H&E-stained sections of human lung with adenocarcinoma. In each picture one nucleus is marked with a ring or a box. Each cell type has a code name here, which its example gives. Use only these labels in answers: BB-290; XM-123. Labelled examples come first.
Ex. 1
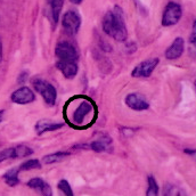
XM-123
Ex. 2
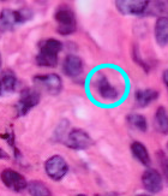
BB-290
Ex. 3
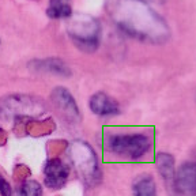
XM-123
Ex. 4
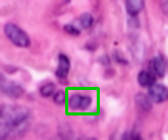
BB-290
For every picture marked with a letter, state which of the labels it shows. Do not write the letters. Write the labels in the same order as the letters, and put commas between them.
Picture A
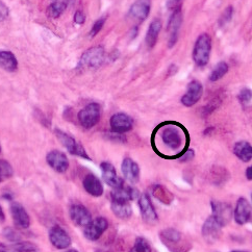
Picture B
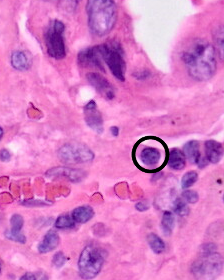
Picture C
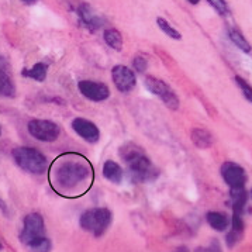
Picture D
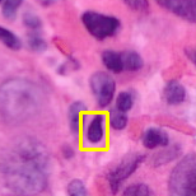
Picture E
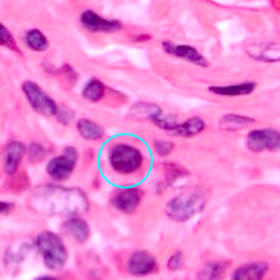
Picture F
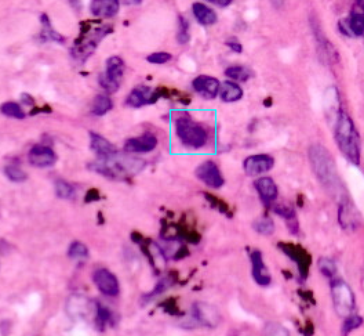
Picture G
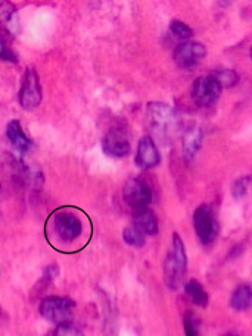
XM-123, BB-290, XM-123, BB-290, XM-123, XM-123, XM-123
